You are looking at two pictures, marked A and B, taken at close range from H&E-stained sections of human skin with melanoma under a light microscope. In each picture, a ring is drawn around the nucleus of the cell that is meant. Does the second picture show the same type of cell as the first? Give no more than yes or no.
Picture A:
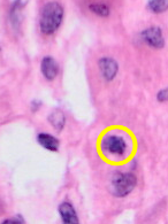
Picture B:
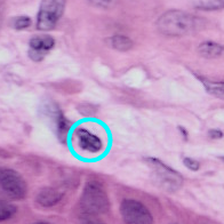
yes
